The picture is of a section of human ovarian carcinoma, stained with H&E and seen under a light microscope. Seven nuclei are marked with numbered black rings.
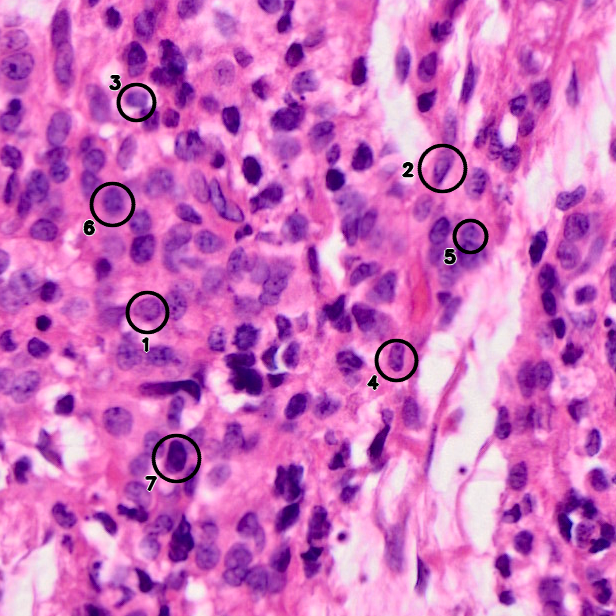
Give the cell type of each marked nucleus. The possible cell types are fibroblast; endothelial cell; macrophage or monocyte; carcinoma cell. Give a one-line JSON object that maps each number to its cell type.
{"1": "carcinoma cell", "2": "endothelial cell", "3": "macrophage or monocyte", "4": "macrophage or monocyte", "5": "carcinoma cell", "6": "carcinoma cell", "7": "carcinoma cell"}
